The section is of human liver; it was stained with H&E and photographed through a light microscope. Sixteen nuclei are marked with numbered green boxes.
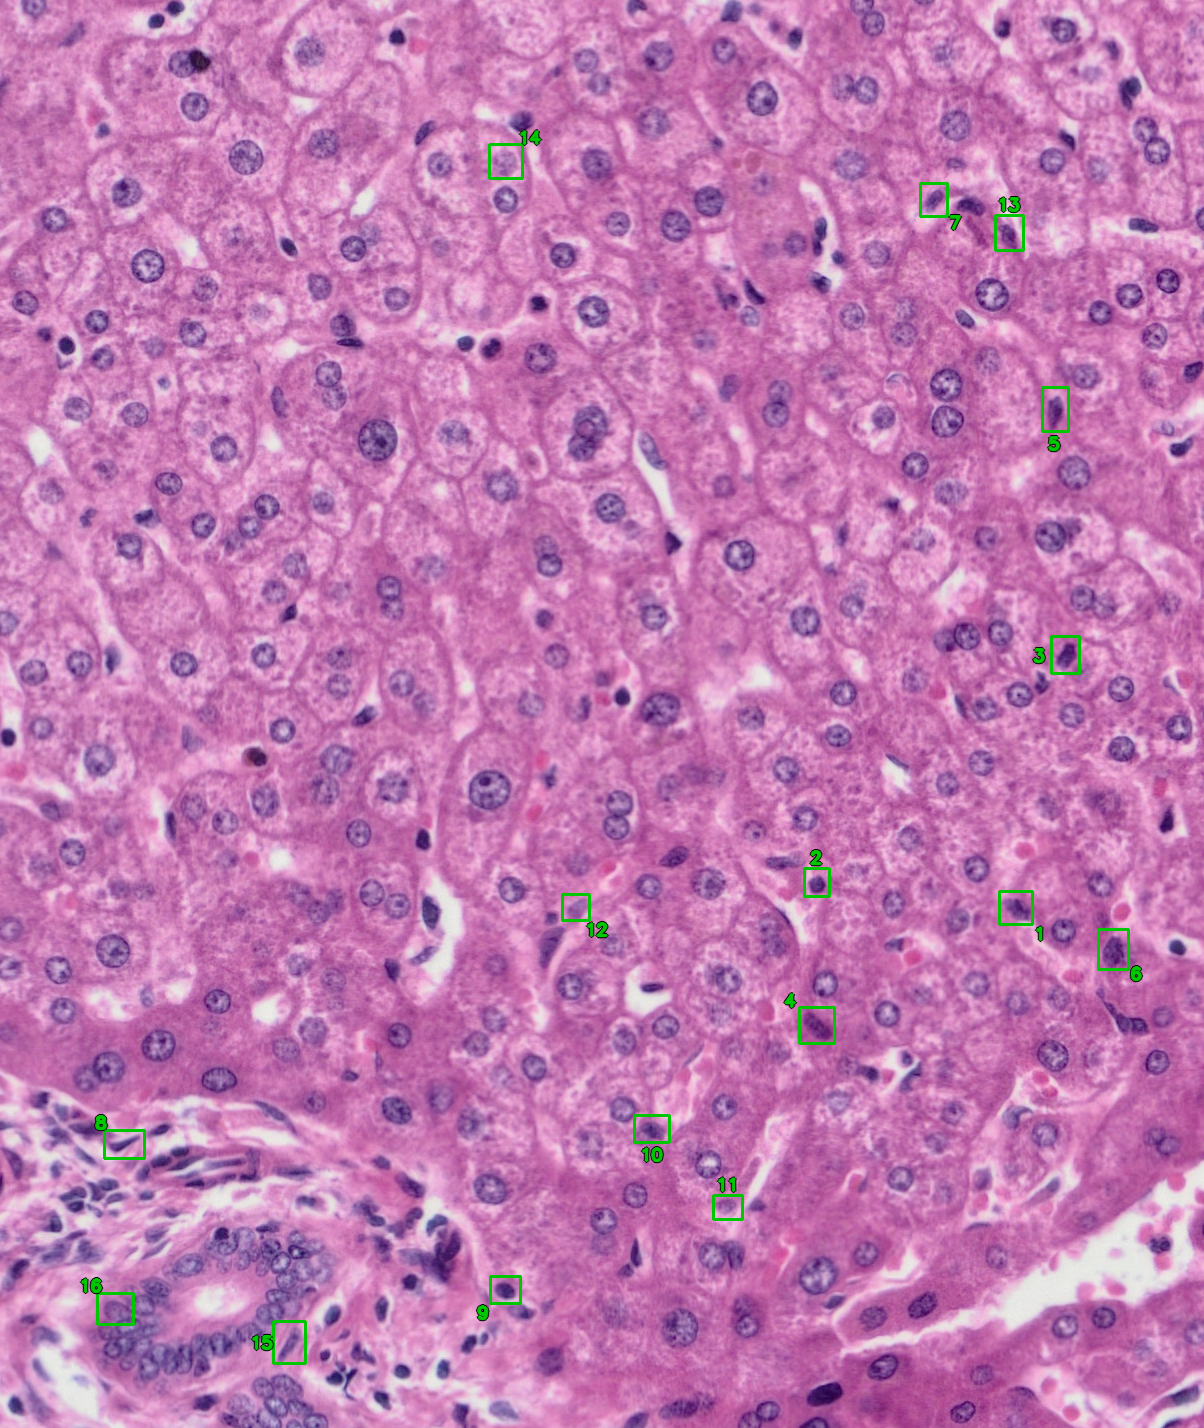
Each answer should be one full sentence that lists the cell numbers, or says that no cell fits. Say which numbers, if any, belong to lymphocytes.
The cells carrying the numbers 2 and 9 are lymphocytes.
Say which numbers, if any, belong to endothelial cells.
The cells tagged 1 and 5 are endothelial cells in this tissue section.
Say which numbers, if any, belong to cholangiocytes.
Cell 16 is the one numbered cell that is a cholangiocyte.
